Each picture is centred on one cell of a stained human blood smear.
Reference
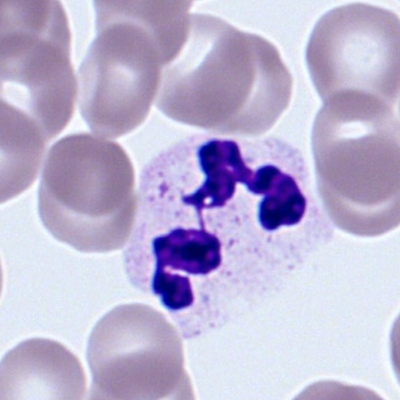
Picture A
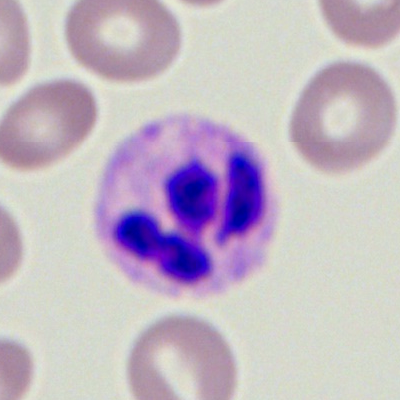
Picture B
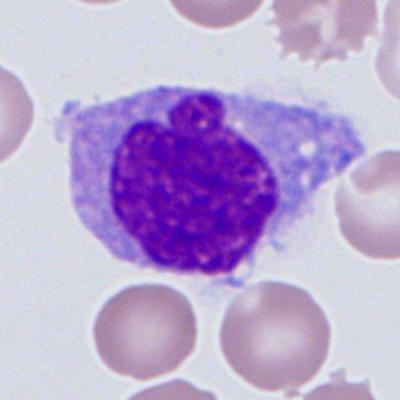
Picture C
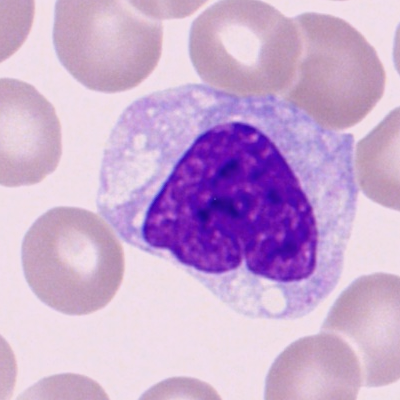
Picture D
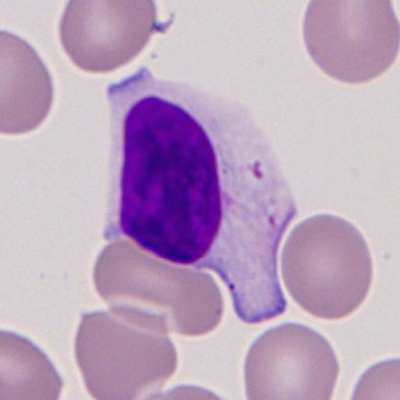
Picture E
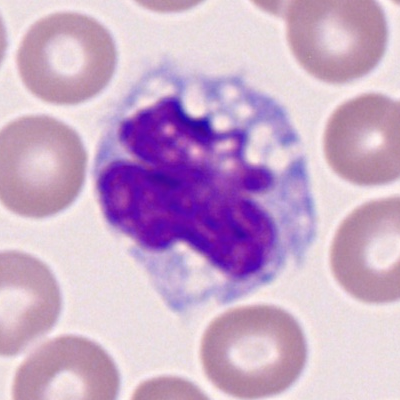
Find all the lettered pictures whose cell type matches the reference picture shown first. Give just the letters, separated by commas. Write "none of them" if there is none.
A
